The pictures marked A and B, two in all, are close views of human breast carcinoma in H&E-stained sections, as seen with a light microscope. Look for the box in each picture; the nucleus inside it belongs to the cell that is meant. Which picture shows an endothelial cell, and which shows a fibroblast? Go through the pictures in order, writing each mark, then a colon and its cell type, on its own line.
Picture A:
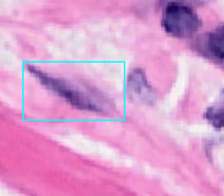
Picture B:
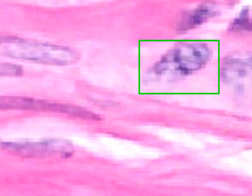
A: fibroblast
B: endothelial cell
